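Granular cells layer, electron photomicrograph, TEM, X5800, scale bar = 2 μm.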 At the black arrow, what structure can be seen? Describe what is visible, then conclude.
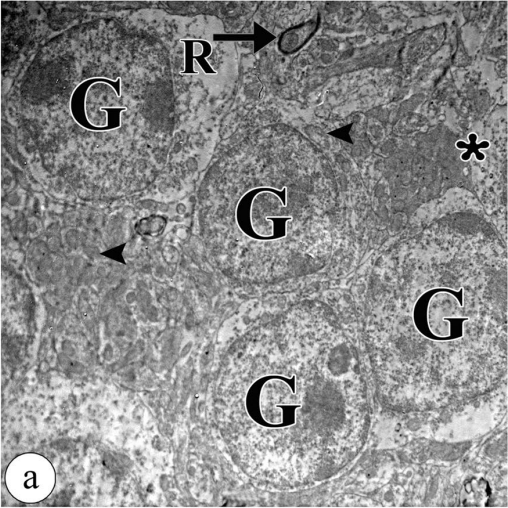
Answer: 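Myelin sheath. The arrow points to a small profile ringed by a thick, dark, compact band. The band encloses a pale central core.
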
